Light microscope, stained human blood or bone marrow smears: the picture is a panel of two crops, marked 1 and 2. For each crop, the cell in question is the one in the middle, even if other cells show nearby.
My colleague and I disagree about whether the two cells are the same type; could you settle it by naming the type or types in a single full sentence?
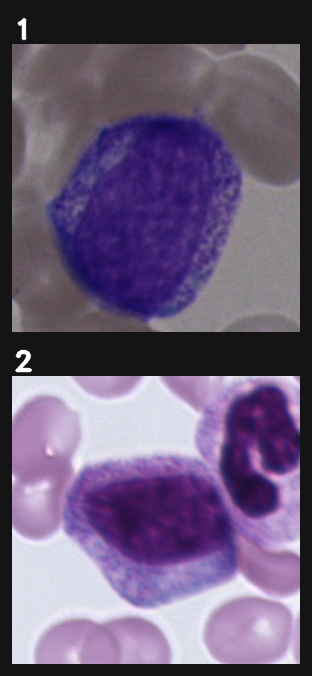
Yes, the middle cells in the two crops are myelocytes.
